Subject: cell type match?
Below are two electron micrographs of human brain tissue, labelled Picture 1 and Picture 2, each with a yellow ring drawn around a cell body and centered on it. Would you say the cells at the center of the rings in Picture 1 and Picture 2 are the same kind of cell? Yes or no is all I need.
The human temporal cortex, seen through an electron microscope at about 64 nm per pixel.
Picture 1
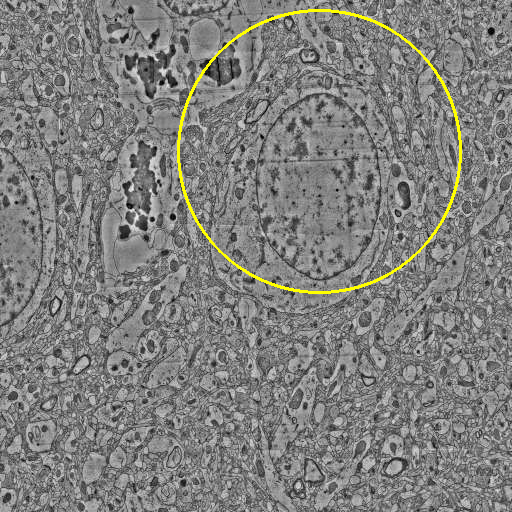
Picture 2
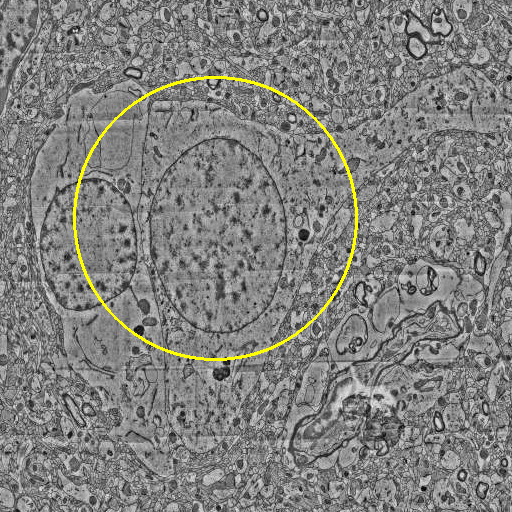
yes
